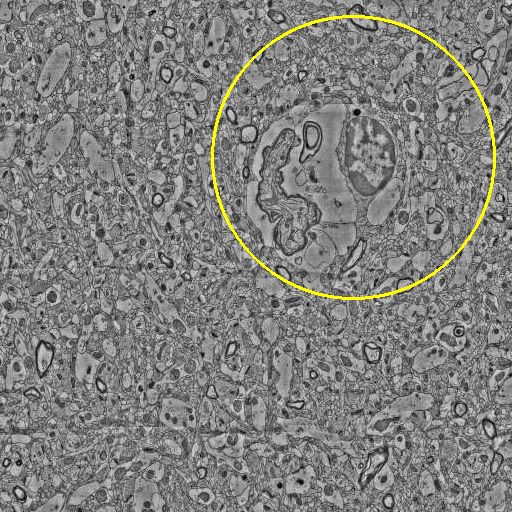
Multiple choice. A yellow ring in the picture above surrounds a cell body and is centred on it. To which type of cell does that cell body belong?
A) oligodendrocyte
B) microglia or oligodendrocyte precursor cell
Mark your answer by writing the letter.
B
